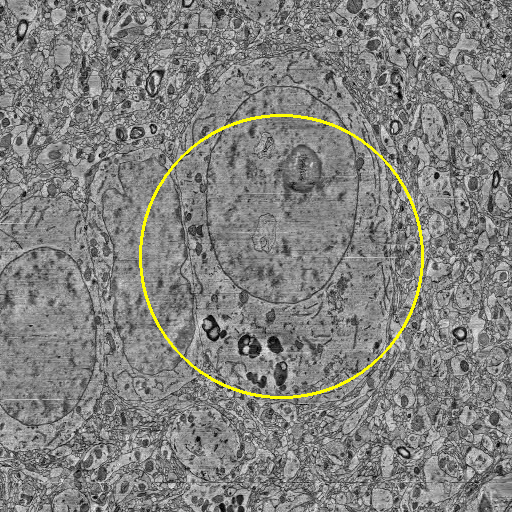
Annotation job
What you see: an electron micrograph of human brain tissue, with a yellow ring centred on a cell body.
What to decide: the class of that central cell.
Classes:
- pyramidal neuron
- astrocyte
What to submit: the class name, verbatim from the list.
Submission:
pyramidal neuron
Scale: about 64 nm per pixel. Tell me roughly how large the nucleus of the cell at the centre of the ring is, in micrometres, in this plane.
The ringed cell's nucleus measures approximately 14 by 10 micrometres in this plane.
